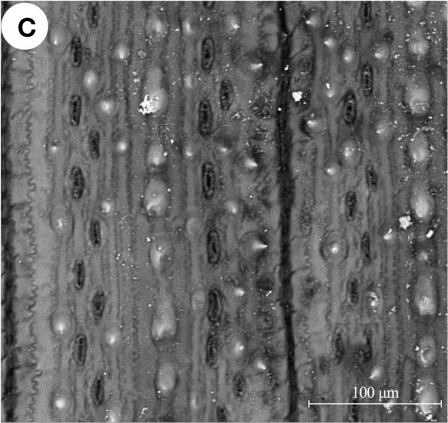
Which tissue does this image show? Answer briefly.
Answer: leaf surface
